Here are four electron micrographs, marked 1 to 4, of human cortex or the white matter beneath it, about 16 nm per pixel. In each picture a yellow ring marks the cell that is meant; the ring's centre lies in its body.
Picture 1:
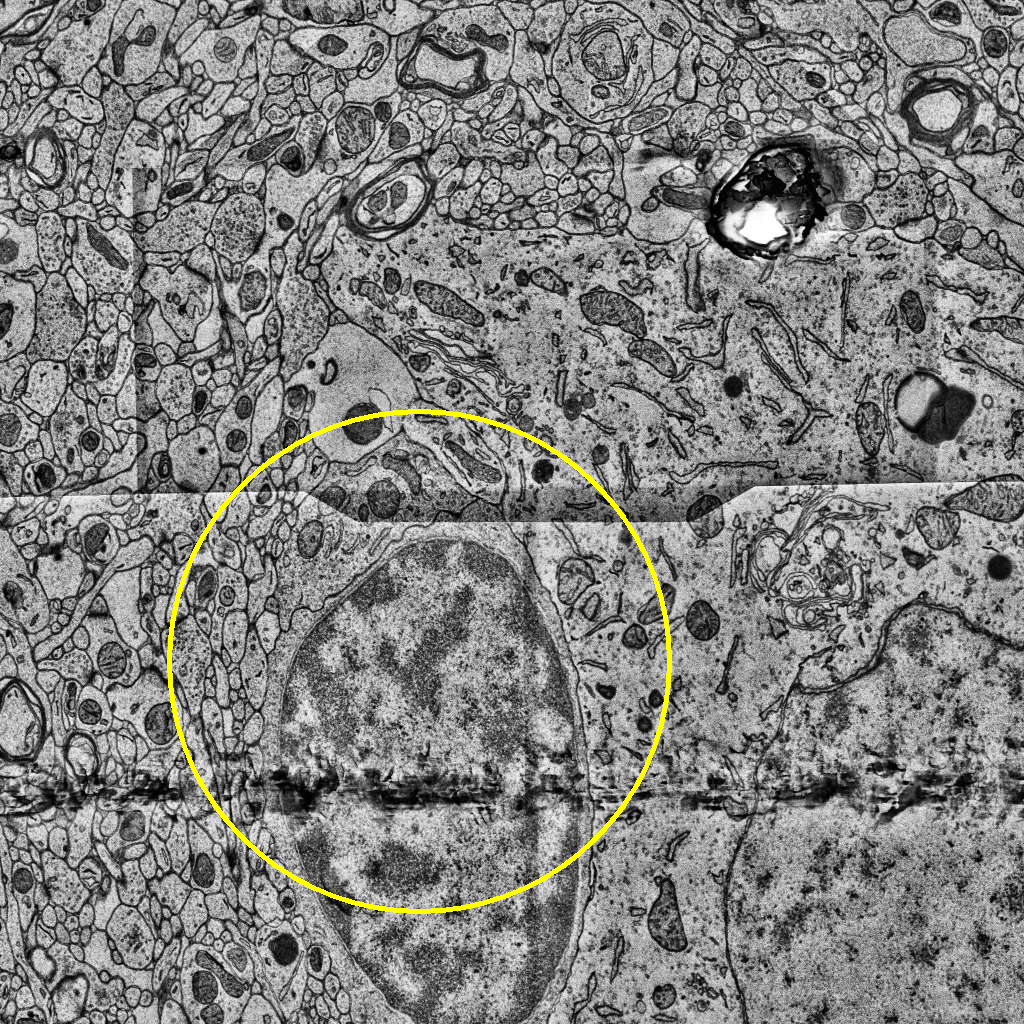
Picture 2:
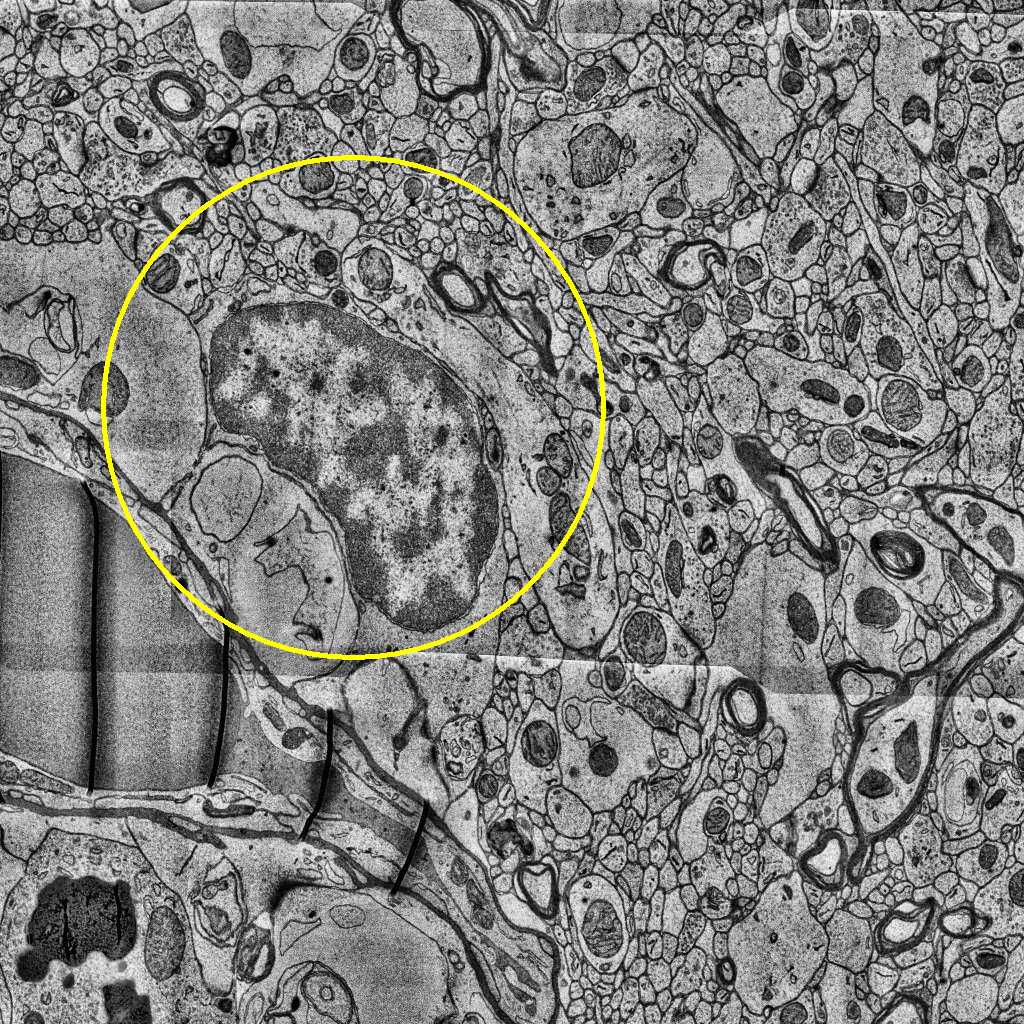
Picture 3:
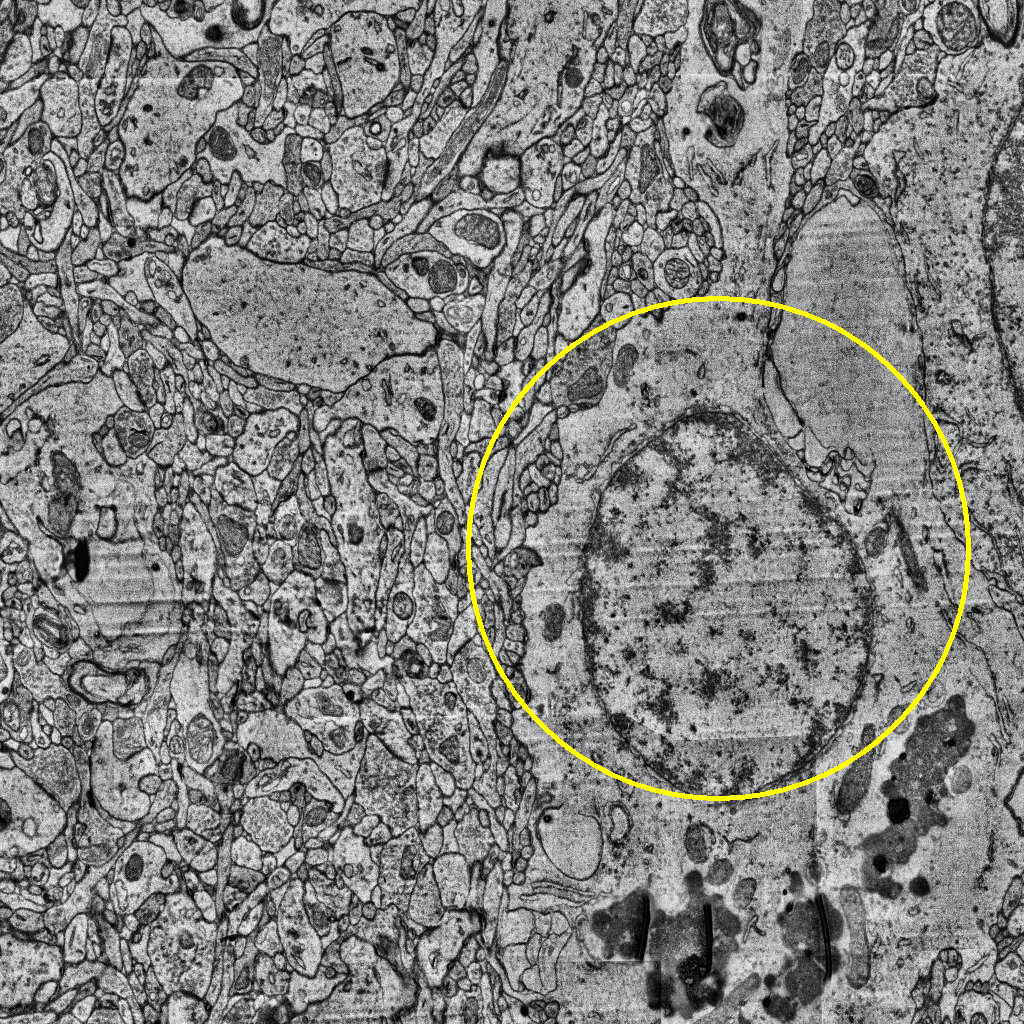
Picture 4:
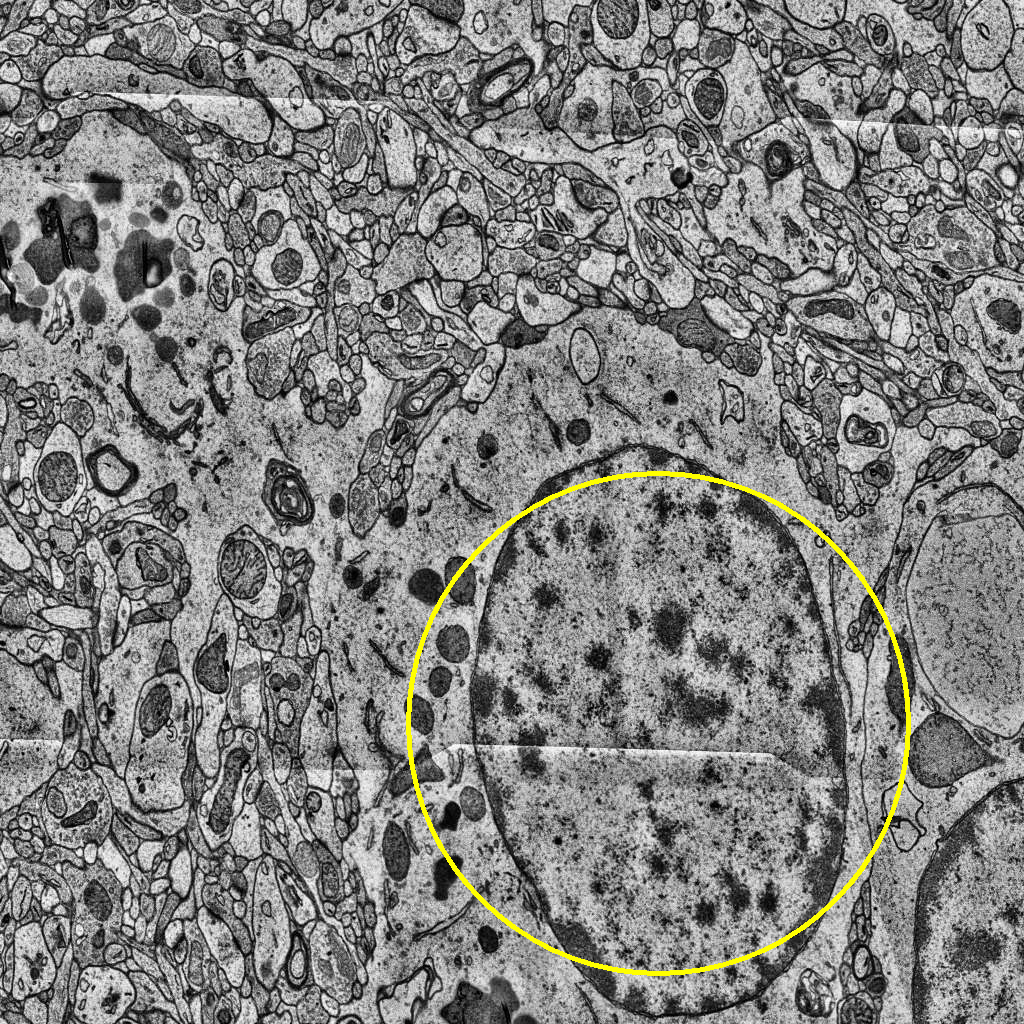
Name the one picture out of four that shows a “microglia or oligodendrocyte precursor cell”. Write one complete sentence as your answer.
Picture 2 is the one that shows the “microglia or oligodendrocyte precursor cell”.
